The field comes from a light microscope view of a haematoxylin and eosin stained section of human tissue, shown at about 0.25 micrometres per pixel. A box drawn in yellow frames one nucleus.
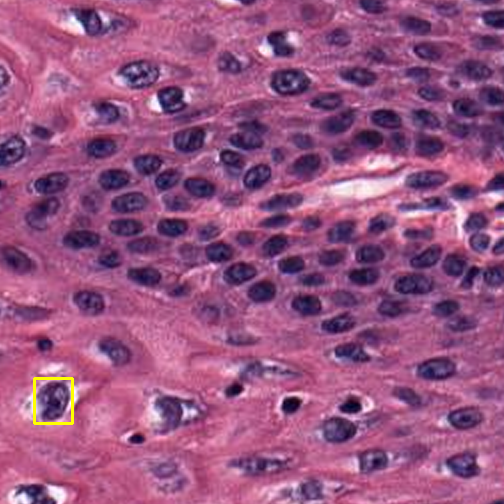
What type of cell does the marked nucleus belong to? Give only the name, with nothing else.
squamous epithelial cell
